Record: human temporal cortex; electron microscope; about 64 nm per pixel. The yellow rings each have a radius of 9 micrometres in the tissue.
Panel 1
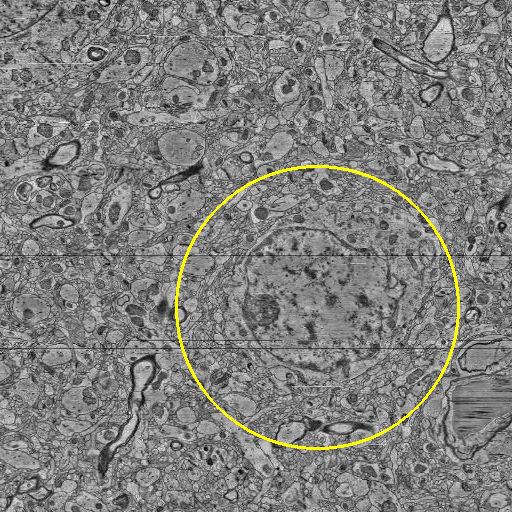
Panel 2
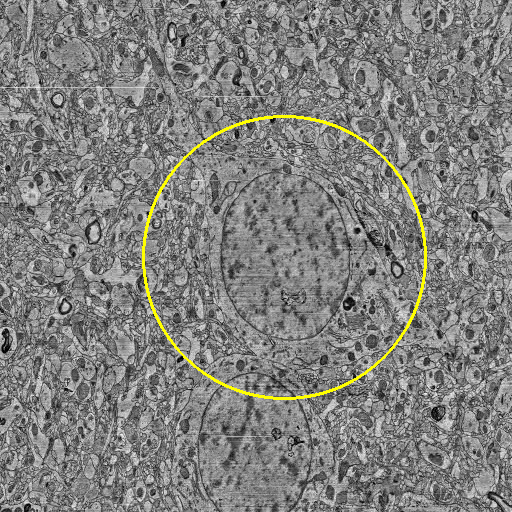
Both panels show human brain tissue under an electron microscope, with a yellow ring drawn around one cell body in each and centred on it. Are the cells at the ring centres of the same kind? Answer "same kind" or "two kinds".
two kinds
